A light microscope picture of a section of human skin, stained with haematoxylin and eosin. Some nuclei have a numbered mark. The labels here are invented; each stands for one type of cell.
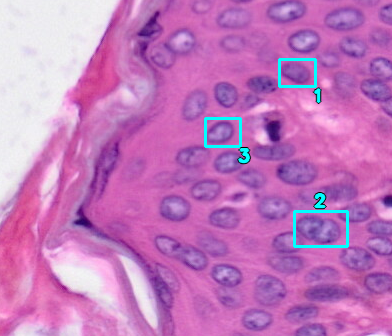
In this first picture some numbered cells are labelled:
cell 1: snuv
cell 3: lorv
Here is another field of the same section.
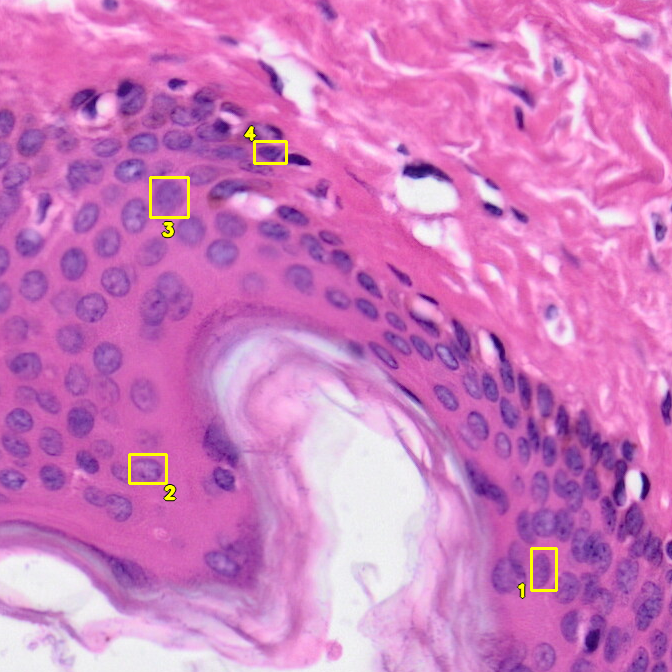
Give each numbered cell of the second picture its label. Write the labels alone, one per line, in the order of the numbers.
lorv
lorv
lorv
snuv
